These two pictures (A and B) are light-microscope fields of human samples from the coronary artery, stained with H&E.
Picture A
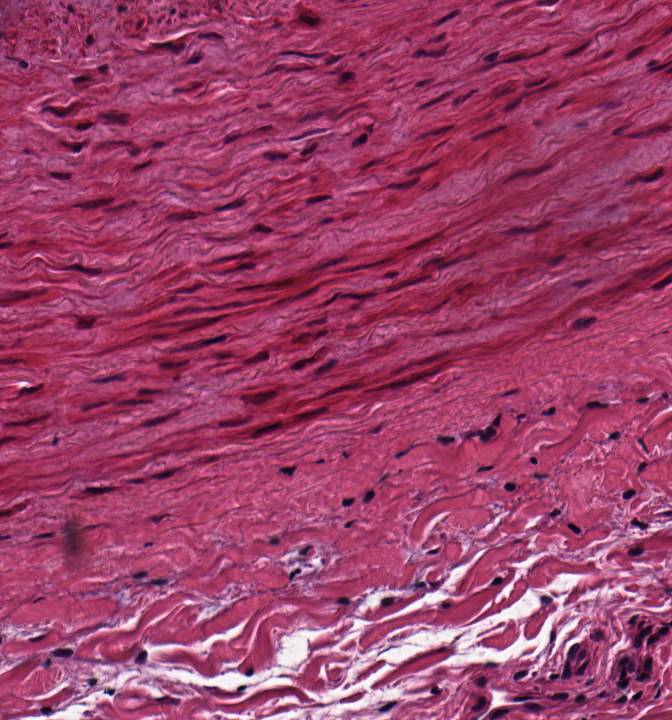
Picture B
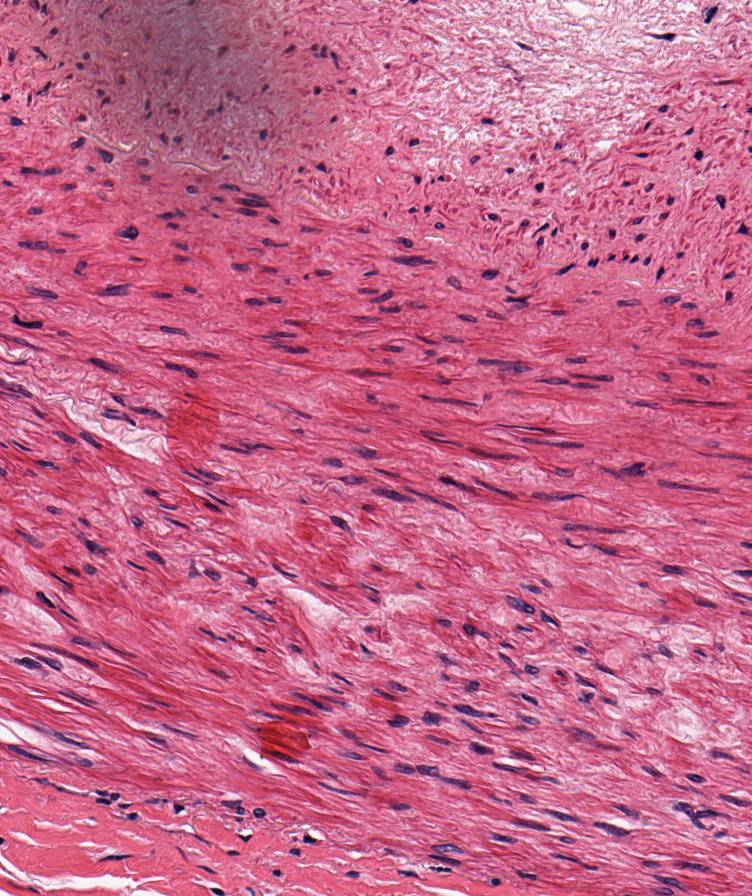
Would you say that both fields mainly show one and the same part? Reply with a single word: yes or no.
yes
